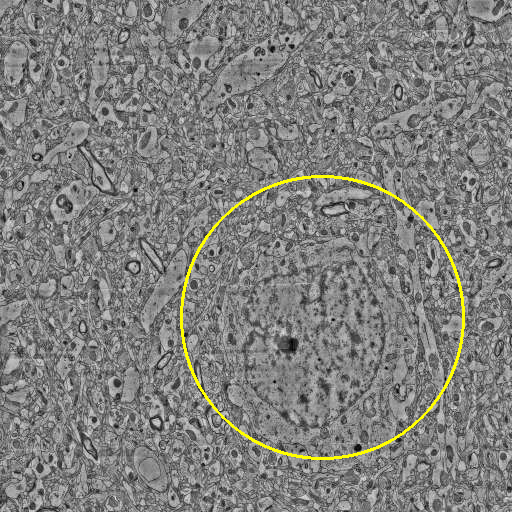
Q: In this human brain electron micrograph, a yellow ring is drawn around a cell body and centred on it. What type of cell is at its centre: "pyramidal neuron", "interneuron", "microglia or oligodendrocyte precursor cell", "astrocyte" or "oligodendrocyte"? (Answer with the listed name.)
interneuron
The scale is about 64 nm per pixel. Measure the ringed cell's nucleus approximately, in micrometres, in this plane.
About 10 micrometres across in this plane.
